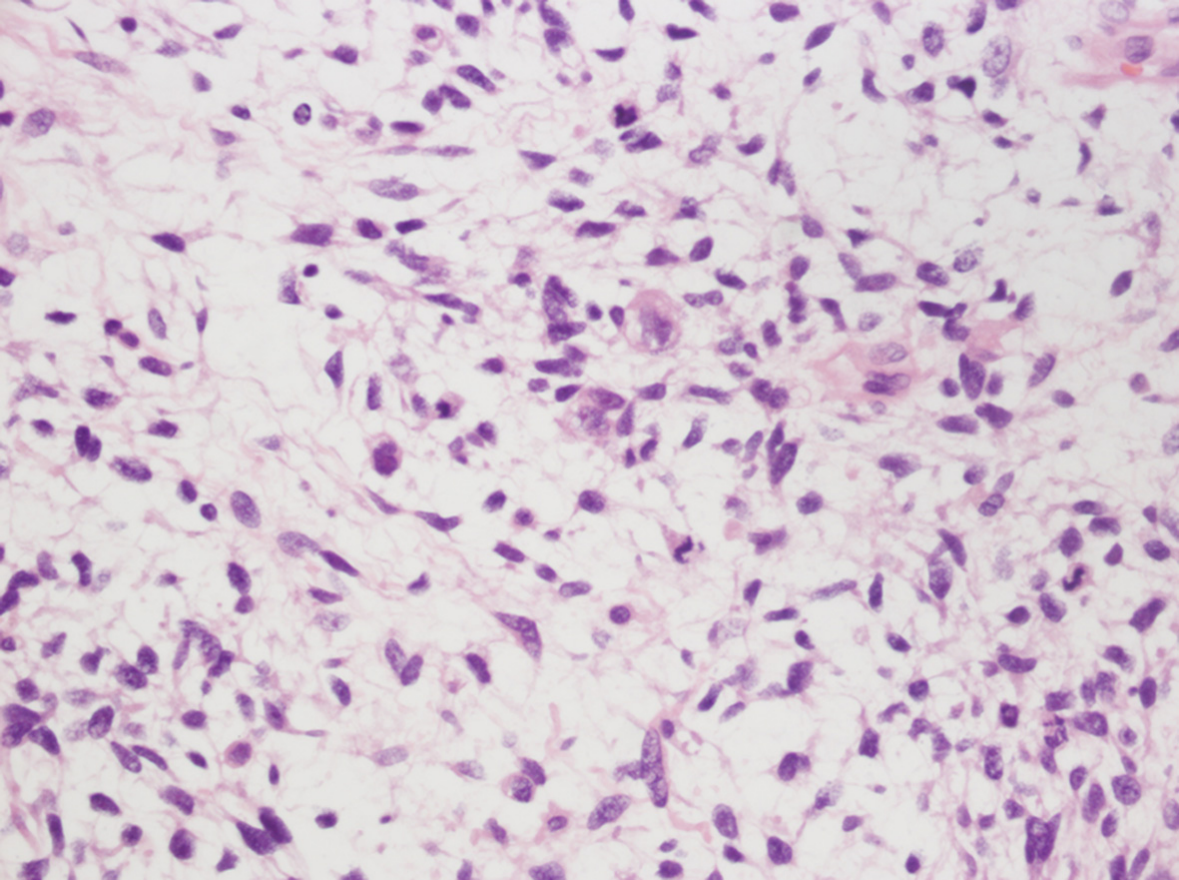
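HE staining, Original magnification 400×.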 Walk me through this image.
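Spindle cell tumor in which many spindle-shaped and ovoid tumor cells lie in a loose, pale pink, finely fibrillary matrix. Their nuclei are dark purple, elongated to oval and vary in size and shape, some with tapered or irregular outlines. The cytoplasm of most tumor cells is scant and merges with the wispy background fibrils. Near the centre a few larger cells stand out, with more abundant pink cytoplasm and larger nuclei. The cells are arranged loosely without any organized layering.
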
